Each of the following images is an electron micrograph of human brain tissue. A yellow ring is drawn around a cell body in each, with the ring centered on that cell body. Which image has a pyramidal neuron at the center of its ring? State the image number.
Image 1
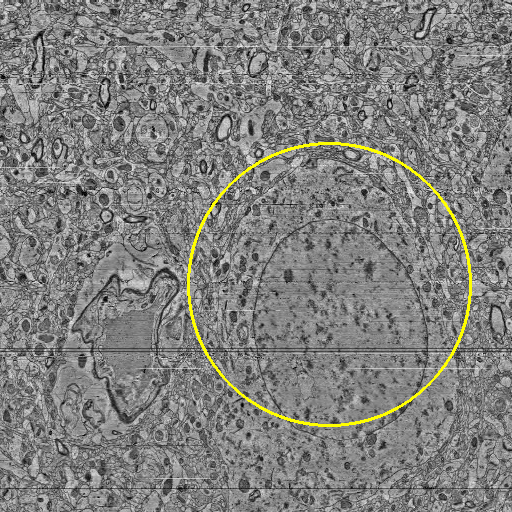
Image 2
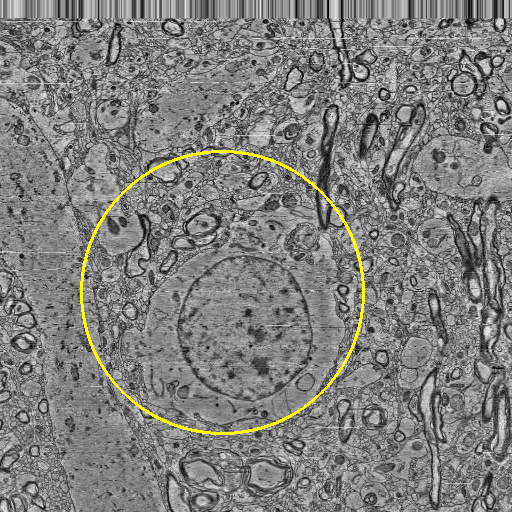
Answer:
1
